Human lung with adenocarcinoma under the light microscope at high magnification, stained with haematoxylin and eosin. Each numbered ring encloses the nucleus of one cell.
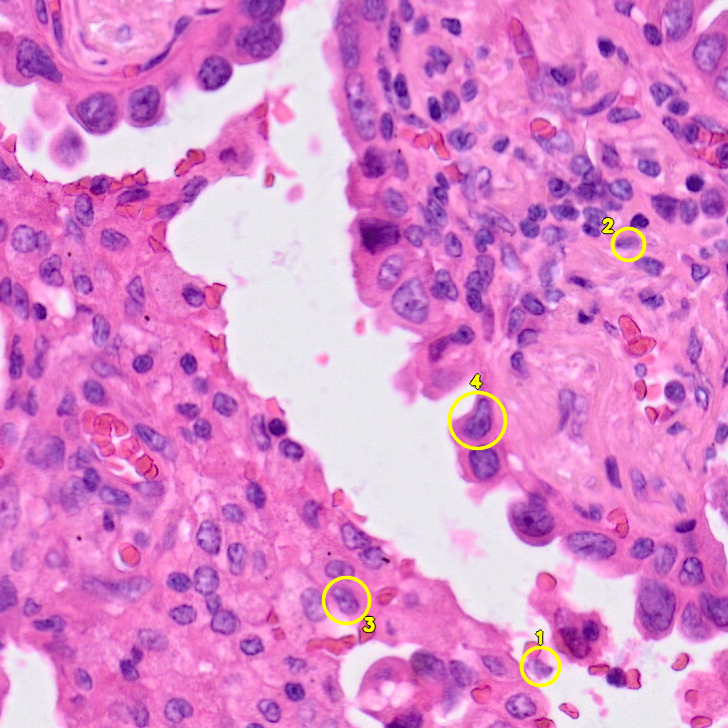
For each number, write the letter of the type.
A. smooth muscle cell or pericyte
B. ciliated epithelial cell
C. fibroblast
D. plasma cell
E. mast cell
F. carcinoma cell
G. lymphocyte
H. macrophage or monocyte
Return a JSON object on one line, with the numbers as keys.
{"1": "H", "2": "G", "3": "H", "4": "F"}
